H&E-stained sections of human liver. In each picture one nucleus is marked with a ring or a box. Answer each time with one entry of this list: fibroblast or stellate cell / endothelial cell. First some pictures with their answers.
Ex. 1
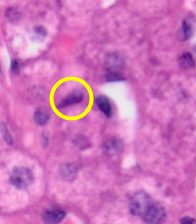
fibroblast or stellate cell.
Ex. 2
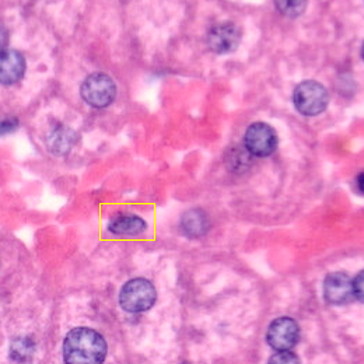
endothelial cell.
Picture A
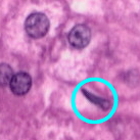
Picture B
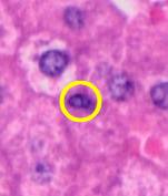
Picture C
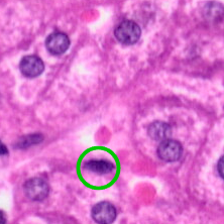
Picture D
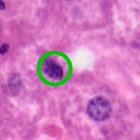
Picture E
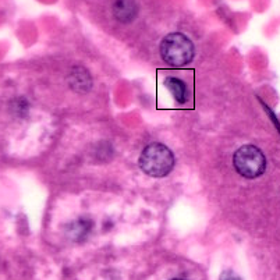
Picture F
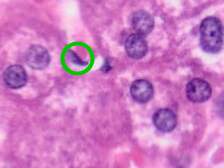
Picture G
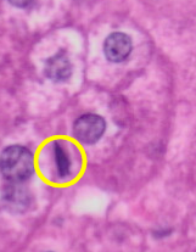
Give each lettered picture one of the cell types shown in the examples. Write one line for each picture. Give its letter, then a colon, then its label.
A: endothelial cell.
B: fibroblast or stellate cell.
C: fibroblast or stellate cell.
D: fibroblast or stellate cell.
E: fibroblast or stellate cell.
F: endothelial cell.
G: fibroblast or stellate cell.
